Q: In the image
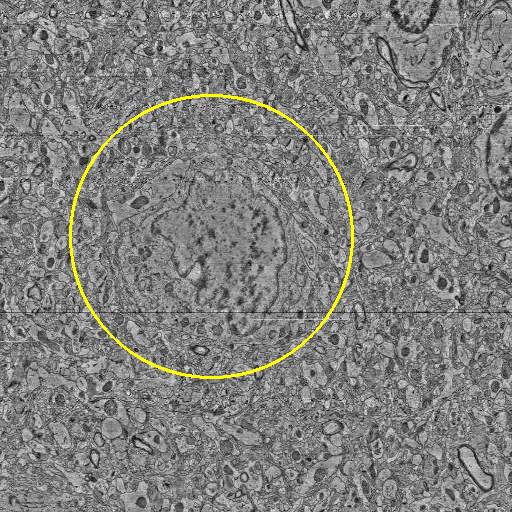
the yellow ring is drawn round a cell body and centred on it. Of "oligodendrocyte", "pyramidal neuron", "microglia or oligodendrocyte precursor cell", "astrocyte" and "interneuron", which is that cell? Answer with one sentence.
The cell centred in the ring is an interneuron.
